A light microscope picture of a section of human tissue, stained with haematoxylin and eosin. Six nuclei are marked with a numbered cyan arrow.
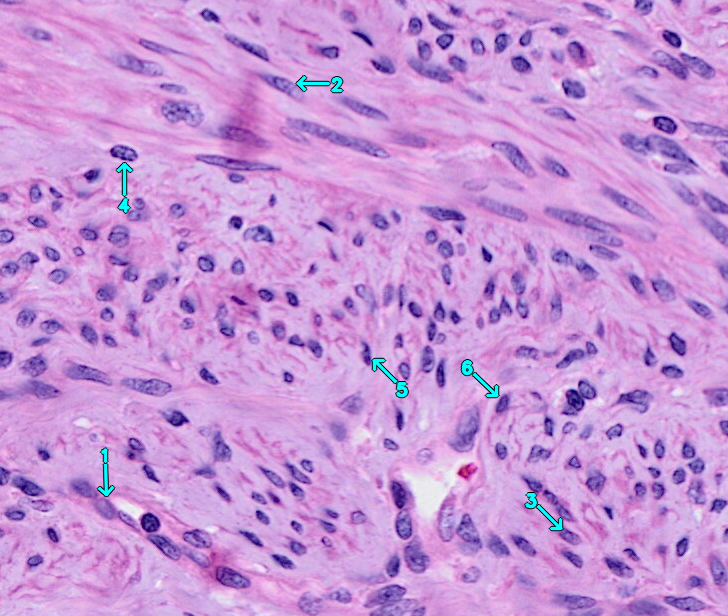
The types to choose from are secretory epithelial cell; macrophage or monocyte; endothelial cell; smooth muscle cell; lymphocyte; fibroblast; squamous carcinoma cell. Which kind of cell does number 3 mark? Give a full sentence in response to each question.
The cell identified by the number 3 is a smooth muscle cell.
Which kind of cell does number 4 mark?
The cell marked with the number 4 is a lymphocyte.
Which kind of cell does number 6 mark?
The marked cell with the number 6 is recognised as a smooth muscle cell.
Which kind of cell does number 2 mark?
Cell number 2 in this section is a smooth muscle cell.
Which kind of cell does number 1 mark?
The nucleus labeled 1 belongs to an endothelial cell.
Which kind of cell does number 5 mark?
The cell tagged with 5 in this tissue section is a smooth muscle cell.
